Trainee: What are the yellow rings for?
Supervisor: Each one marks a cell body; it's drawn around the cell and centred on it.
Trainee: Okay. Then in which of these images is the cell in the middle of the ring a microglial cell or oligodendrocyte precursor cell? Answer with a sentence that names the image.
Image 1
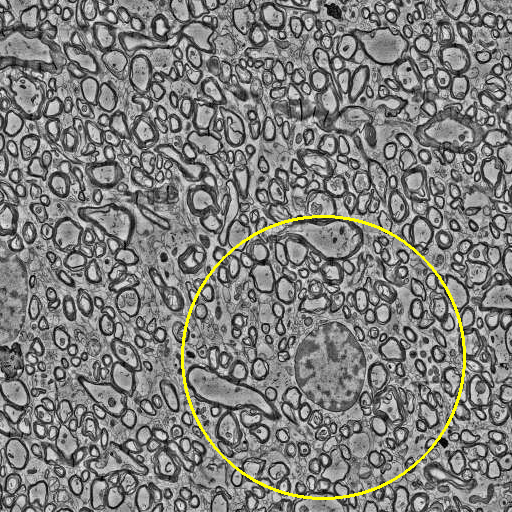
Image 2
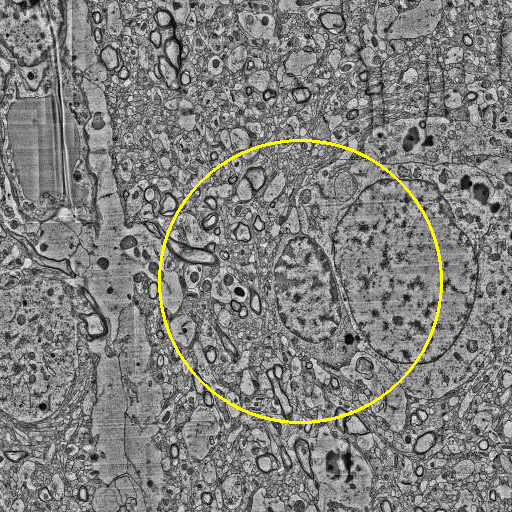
Image 1 has it in the middle of the ring.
